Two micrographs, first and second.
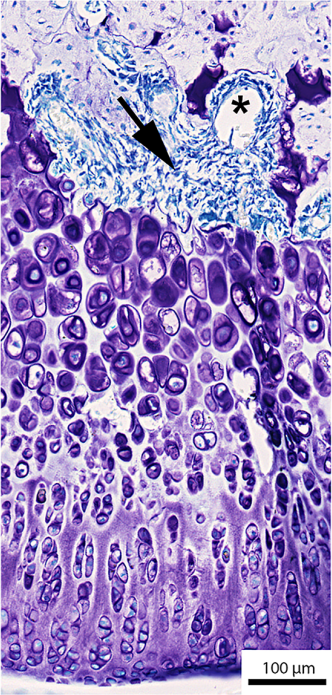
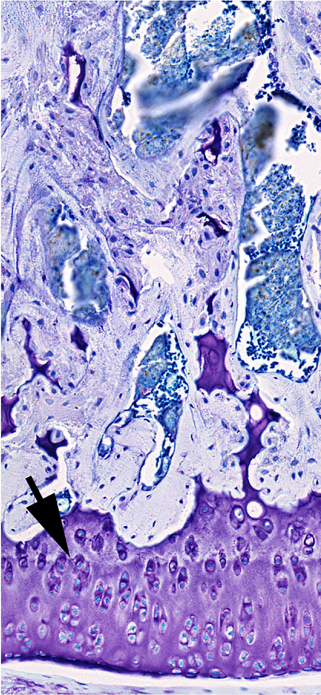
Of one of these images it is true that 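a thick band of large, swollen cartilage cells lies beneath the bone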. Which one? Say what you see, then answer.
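First image: a wide zone of enlarged, deeply purple cartilage cells fills the upper half below the fibrous tissue. Second image: only a thin layer of small cartilage cells lies beneath bone trabeculae. The answer: the first image.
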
